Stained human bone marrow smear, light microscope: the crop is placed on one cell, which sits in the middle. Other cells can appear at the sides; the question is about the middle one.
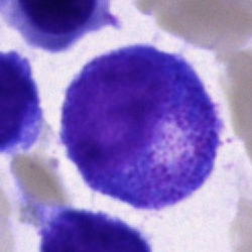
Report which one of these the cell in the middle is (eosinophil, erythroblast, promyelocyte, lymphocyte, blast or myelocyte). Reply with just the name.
promyelocyte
